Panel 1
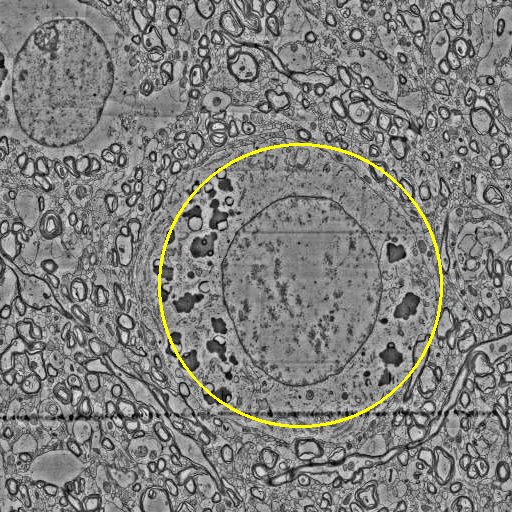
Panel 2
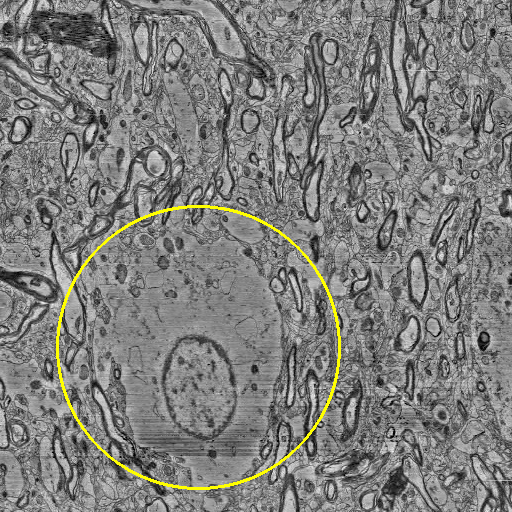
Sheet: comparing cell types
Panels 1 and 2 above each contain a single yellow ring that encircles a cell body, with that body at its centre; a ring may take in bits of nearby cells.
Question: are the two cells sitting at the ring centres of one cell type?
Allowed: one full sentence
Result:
No, the ring-centre cells in Panel 1 and Panel 2 are of two types.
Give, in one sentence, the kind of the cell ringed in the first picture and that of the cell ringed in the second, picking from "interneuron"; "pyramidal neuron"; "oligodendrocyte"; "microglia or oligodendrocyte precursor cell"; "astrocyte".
For the first picture it is a pyramidal neuron; for the second, an astrocyte.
